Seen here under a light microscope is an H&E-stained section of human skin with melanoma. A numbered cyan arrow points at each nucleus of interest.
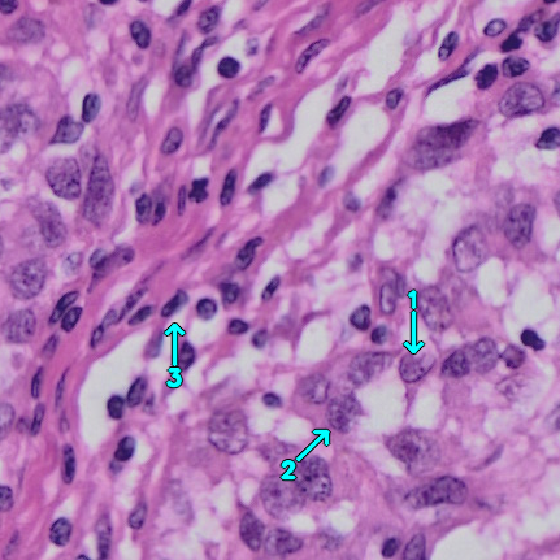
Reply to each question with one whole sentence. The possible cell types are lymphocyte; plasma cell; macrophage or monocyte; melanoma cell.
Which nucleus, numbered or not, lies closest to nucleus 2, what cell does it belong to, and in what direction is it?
Just above and to the left of nucleus 2 lies the nearest nucleus, which belongs to a melanoma cell.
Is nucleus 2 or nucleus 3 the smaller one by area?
Nucleus 3 covers less area, with nucleus 2 about 2 times as large.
